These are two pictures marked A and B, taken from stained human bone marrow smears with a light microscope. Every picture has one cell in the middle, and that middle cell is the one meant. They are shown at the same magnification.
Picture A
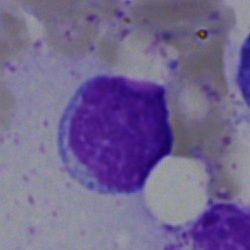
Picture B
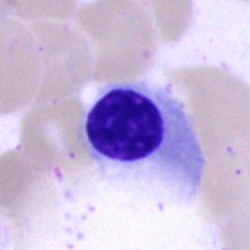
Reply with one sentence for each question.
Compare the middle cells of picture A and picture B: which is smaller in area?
The cell in picture B is smaller; the one in picture A has about 1.5 times its area.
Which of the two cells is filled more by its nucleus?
The nucleus fills more of the cell in picture A than in picture B.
